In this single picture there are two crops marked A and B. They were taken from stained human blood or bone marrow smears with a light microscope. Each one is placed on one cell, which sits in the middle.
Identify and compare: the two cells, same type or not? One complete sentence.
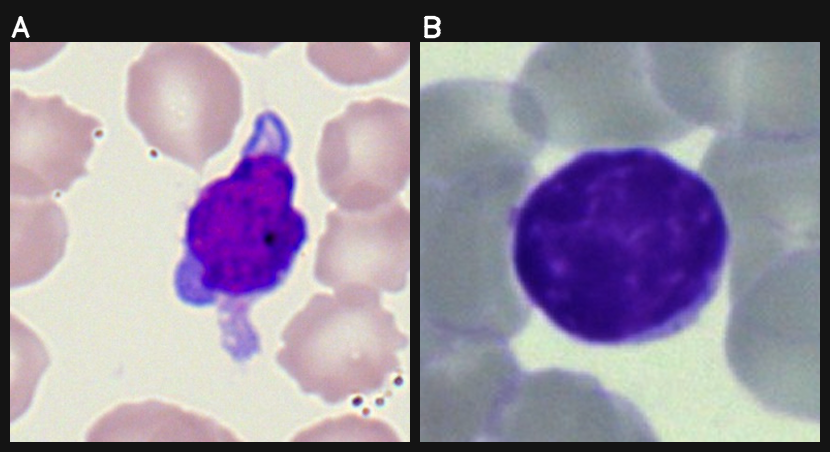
Yes, both crops show a cell each, and these are lymphocytes.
